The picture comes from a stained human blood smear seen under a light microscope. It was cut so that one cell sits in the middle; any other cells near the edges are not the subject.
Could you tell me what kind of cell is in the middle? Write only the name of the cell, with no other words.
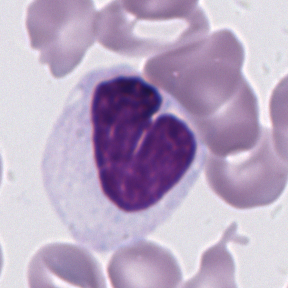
band neutrophil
